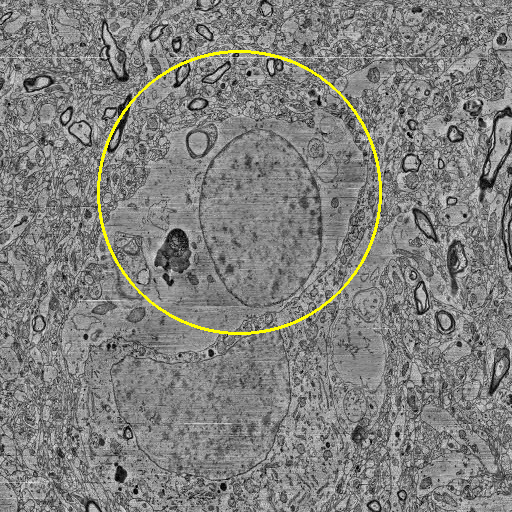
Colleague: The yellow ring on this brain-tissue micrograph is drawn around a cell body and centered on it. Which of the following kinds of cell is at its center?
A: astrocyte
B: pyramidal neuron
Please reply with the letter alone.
A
